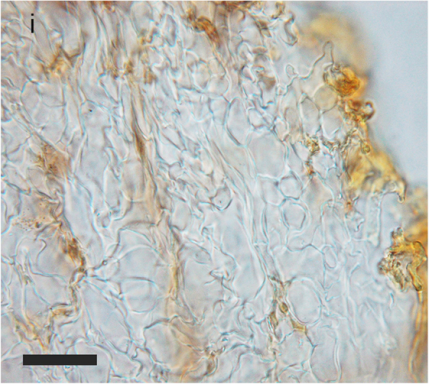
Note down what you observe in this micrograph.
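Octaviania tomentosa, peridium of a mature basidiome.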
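Some streaks of narrower, more elongated hyphae run through it. Along the outer edge, on the right, and in a few patches, there is yellow-brown pigmented material with thinner hyphae, forming the rough outer surface of the skin.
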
